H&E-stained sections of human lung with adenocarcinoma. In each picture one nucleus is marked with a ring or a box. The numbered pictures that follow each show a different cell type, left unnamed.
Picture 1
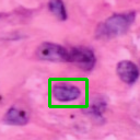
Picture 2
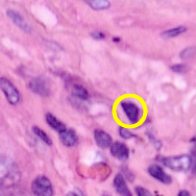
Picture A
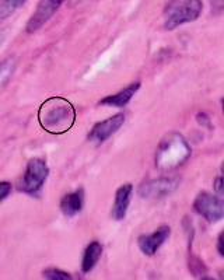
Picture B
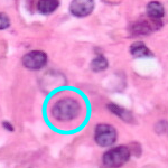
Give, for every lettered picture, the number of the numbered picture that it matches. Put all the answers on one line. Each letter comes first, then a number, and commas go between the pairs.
A 1, B 1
